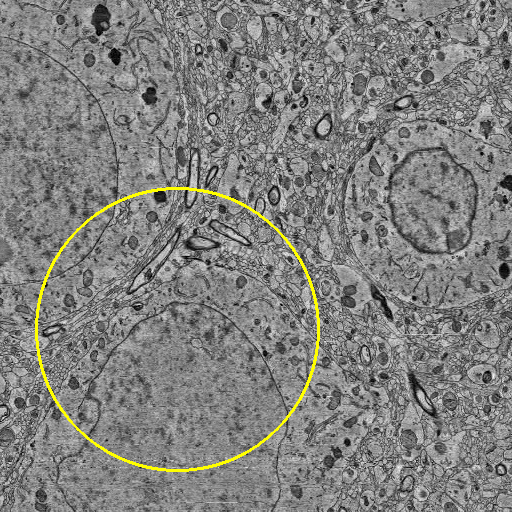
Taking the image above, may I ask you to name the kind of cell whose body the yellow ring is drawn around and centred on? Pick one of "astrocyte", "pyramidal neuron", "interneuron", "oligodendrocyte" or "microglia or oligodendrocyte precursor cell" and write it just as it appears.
pyramidal neuron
